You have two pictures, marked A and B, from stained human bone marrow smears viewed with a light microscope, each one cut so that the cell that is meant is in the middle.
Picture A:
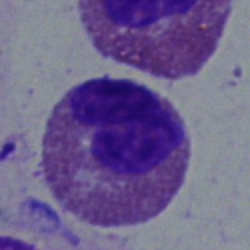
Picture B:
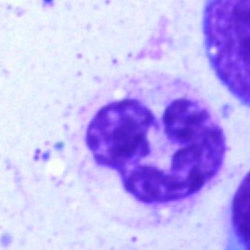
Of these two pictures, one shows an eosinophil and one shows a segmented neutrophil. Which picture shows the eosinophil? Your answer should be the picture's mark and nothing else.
A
